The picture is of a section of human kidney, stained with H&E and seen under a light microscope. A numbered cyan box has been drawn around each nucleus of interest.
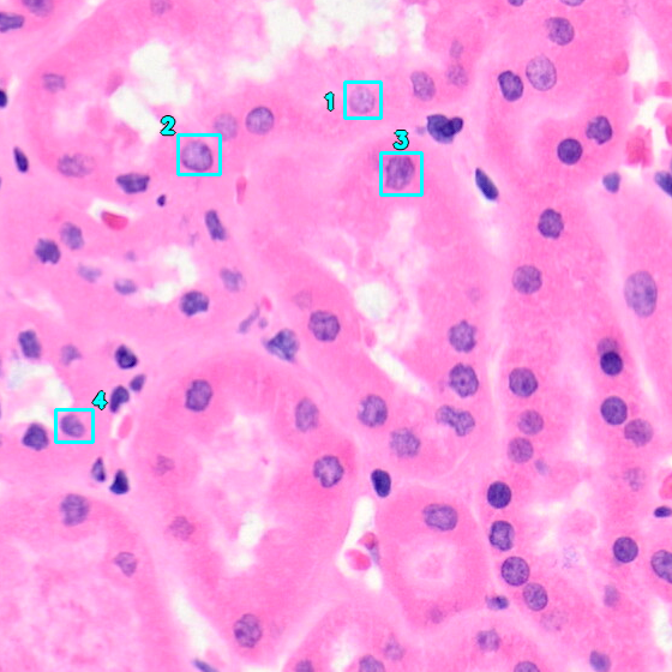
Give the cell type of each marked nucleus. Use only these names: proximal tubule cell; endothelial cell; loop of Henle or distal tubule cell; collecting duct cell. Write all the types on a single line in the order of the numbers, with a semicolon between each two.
proximal tubule cell; proximal tubule cell; proximal tubule cell; loop of Henle or distal tubule cell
